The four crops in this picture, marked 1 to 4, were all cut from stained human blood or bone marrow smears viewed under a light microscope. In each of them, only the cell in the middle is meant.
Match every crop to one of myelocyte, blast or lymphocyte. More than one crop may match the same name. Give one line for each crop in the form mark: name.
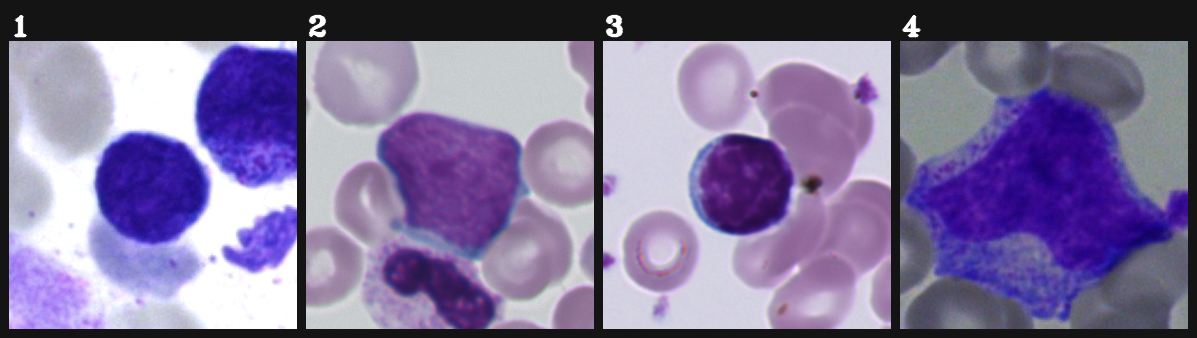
1: lymphocyte
2: blast
3: lymphocyte
4: myelocyte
